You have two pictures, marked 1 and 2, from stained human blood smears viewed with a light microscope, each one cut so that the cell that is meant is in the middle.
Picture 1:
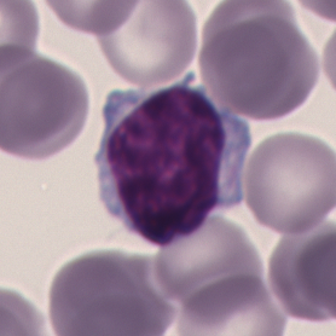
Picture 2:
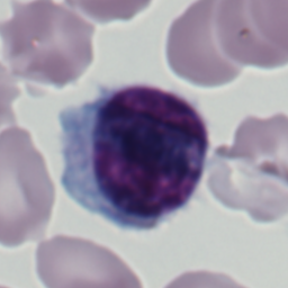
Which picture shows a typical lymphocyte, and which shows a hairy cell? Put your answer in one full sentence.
Picture 2 shows a hairy cell, while picture 1 shows a typical lymphocyte.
